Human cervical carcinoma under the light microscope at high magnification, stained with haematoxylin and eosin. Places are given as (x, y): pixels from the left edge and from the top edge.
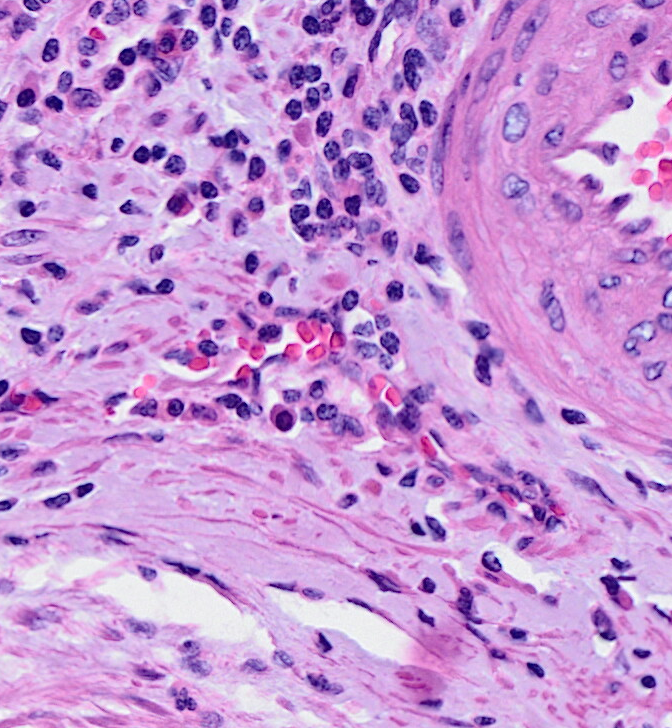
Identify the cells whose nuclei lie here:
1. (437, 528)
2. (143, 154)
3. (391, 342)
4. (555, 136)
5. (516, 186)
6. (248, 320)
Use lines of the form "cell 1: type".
cell 1: lymphocyte
cell 2: lymphocyte
cell 3: lymphocyte
cell 4: smooth muscle cell
cell 5: smooth muscle cell
cell 6: endothelial cell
